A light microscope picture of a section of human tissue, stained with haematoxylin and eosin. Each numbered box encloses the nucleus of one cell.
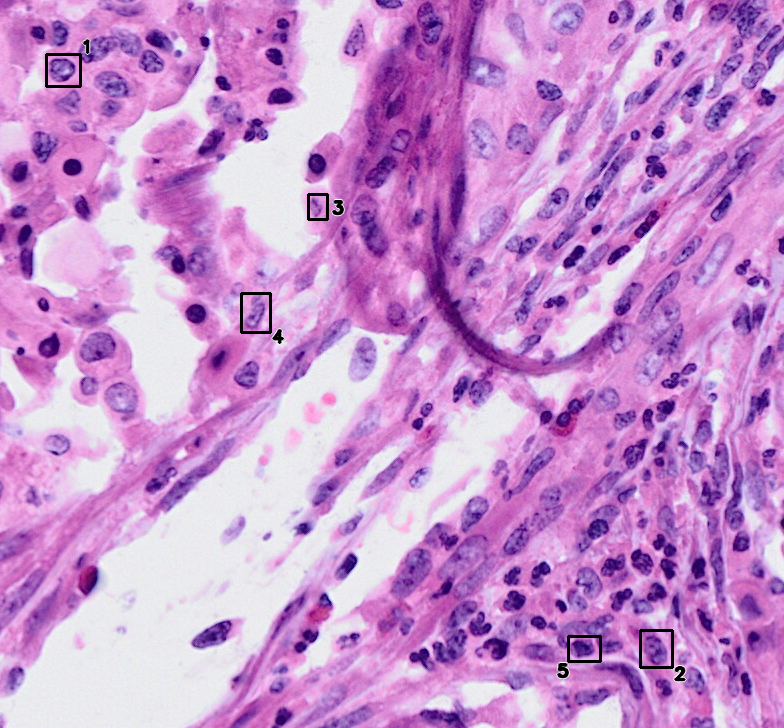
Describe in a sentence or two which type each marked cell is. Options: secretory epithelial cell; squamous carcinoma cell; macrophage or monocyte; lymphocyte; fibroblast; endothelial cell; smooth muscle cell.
Cell 1 is a squamous carcinoma cell, cell 2 is a macrophage or monocyte, cell 3 is a squamous carcinoma cell, cell 4 is a macrophage or monocyte and cell 5 is a lymphocyte.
